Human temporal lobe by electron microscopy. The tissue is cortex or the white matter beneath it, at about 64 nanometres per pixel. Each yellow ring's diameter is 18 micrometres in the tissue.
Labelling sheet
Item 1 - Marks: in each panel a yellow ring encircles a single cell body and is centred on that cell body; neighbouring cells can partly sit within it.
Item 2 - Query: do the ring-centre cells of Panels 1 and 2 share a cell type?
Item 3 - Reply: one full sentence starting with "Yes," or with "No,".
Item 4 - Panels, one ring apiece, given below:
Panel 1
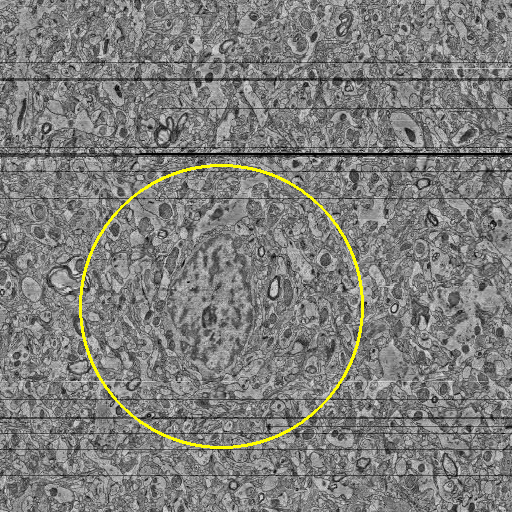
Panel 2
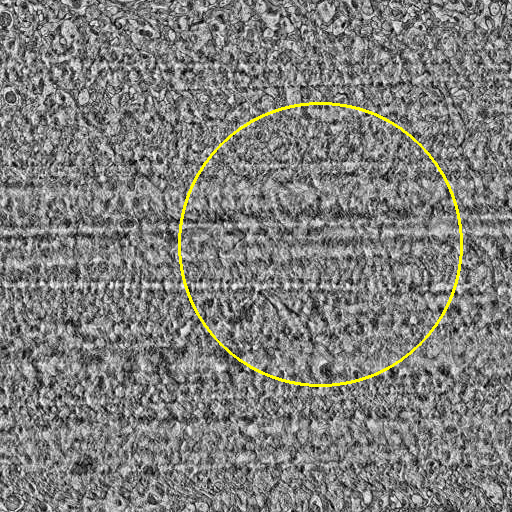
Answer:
Yes, Panel 1 and Panel 2 show one cell type at the centres of their rings.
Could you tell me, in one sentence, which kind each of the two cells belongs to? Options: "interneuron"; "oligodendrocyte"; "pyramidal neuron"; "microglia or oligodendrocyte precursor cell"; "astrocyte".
Each one of the two ringed cells is an oligodendrocyte.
